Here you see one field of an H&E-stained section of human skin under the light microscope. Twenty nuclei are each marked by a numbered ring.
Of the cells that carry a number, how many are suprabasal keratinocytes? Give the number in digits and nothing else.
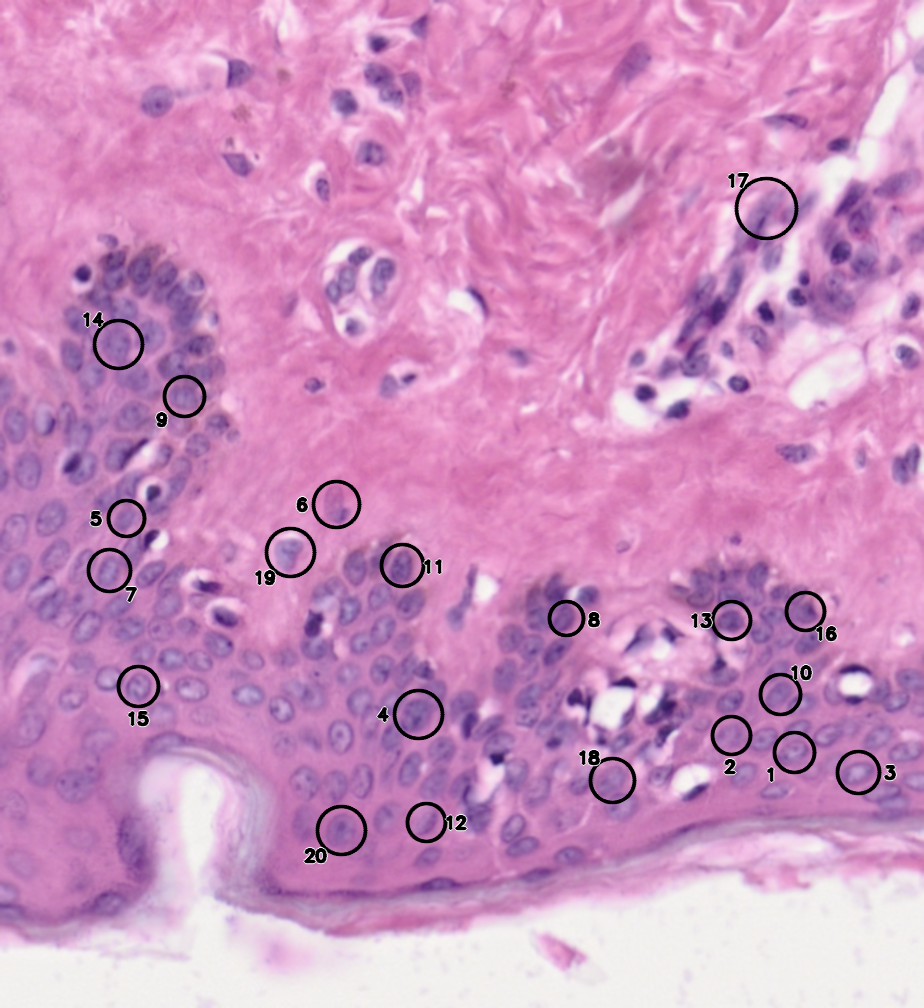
10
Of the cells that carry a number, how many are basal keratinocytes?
7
